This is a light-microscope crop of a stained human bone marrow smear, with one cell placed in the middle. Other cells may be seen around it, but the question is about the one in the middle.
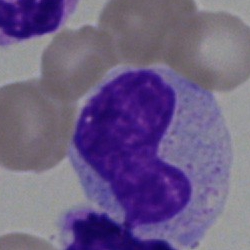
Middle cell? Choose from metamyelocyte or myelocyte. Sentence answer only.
In the middle of this smear crop, the cell is a metamyelocyte.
